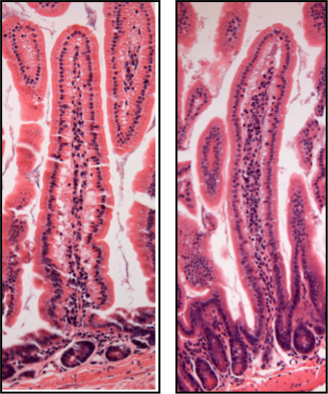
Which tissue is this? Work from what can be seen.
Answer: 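Small intestine. Long finger-like projections lined by a single layer of tall epithelial cells. Short glandular pits at the base of the projections. A band of smooth muscle beneath the glandular pits.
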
